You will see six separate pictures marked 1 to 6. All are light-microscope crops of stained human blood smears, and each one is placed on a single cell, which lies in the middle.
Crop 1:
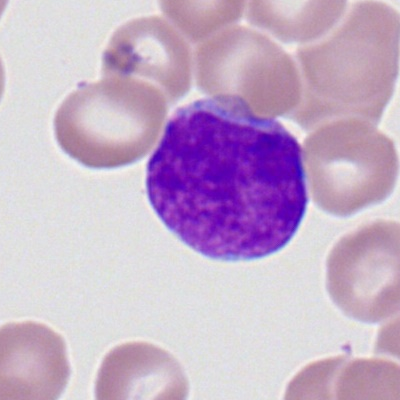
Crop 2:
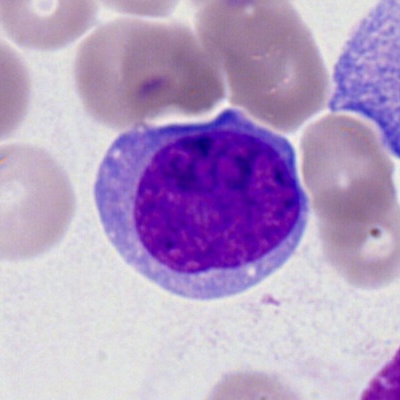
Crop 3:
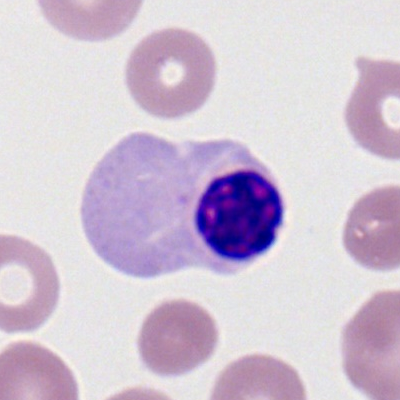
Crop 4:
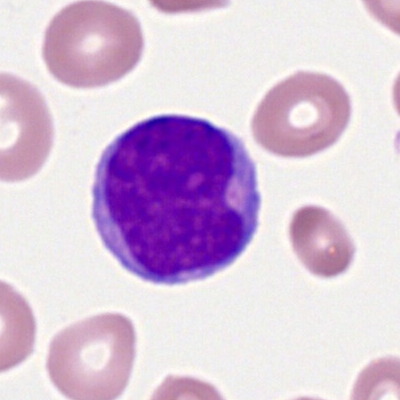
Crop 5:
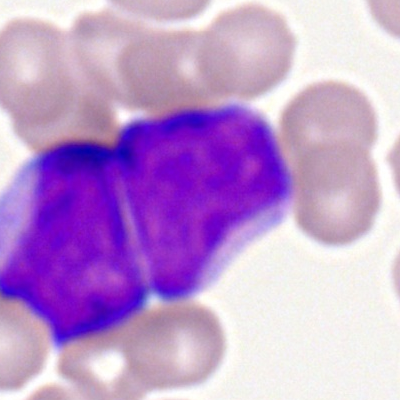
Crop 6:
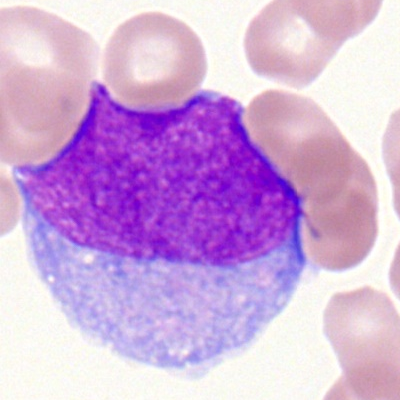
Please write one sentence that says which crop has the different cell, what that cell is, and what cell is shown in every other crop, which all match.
The crops all show myeloblasts, with the exception of crop 3, which shows a normoblast.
